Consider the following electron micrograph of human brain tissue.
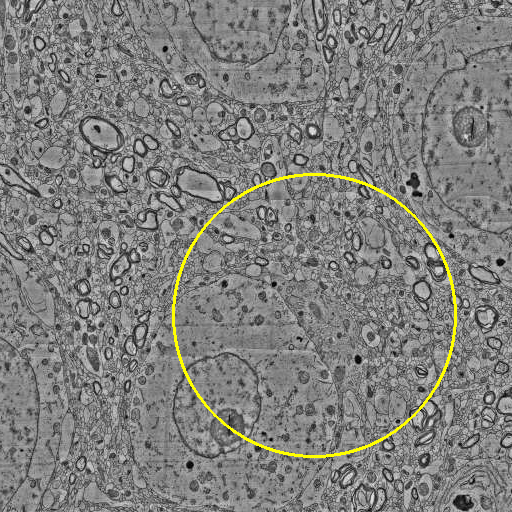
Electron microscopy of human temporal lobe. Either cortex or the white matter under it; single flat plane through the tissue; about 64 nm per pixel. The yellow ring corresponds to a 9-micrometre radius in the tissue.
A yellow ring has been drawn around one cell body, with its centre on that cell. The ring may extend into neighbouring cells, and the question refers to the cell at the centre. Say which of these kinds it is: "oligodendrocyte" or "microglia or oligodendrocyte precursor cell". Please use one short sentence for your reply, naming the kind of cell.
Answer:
The centre of the ring falls on an oligodendrocyte.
